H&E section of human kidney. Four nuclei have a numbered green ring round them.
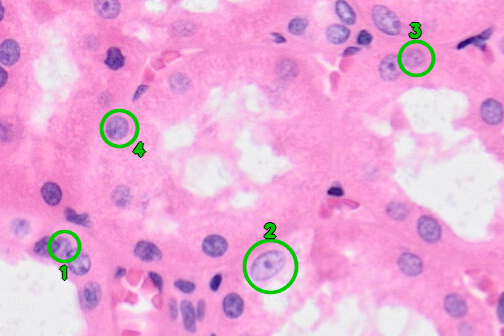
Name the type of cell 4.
proximal tubule cell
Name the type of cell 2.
proximal tubule cell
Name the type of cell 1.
collecting duct cell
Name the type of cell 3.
proximal tubule cell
